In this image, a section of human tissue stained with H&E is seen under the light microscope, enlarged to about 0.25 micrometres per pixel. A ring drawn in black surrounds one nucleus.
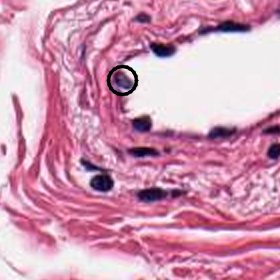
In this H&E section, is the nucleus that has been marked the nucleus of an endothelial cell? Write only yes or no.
yes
